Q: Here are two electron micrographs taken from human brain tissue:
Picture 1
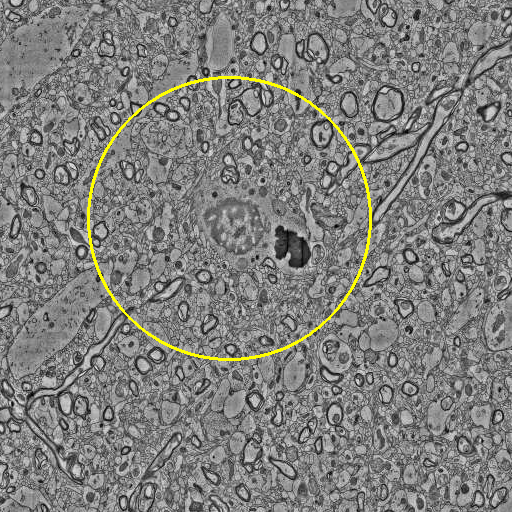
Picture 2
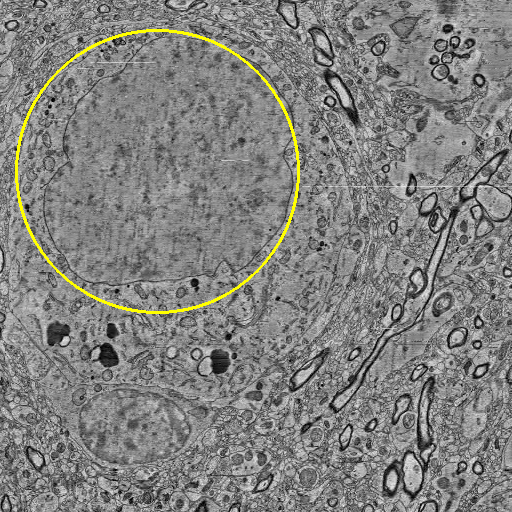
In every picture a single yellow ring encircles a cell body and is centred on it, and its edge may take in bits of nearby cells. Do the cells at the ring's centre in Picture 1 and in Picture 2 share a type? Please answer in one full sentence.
No, the cells at the ring's centre in Picture 1 and Picture 2 are of two types.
